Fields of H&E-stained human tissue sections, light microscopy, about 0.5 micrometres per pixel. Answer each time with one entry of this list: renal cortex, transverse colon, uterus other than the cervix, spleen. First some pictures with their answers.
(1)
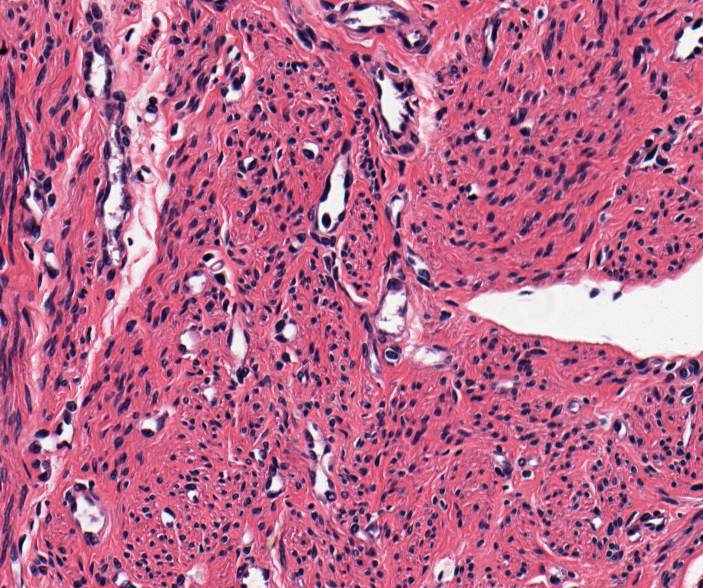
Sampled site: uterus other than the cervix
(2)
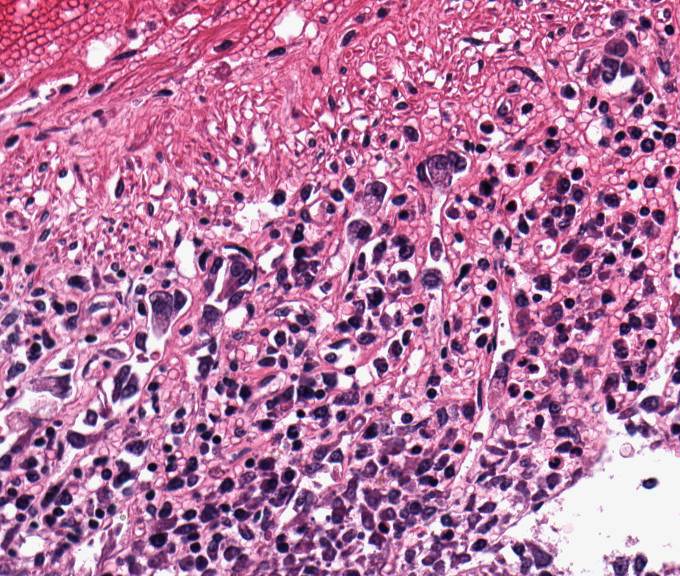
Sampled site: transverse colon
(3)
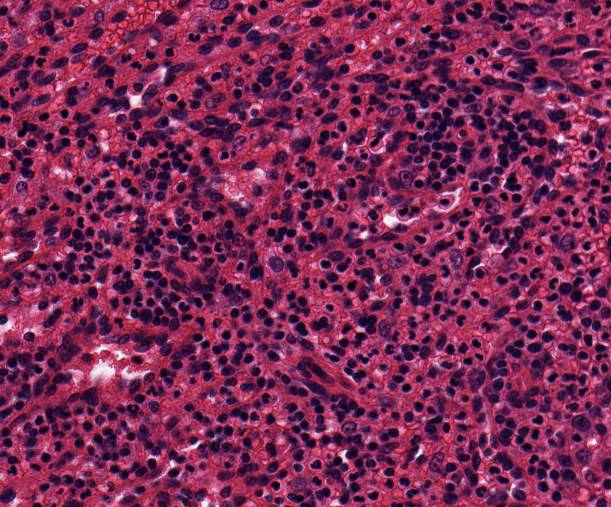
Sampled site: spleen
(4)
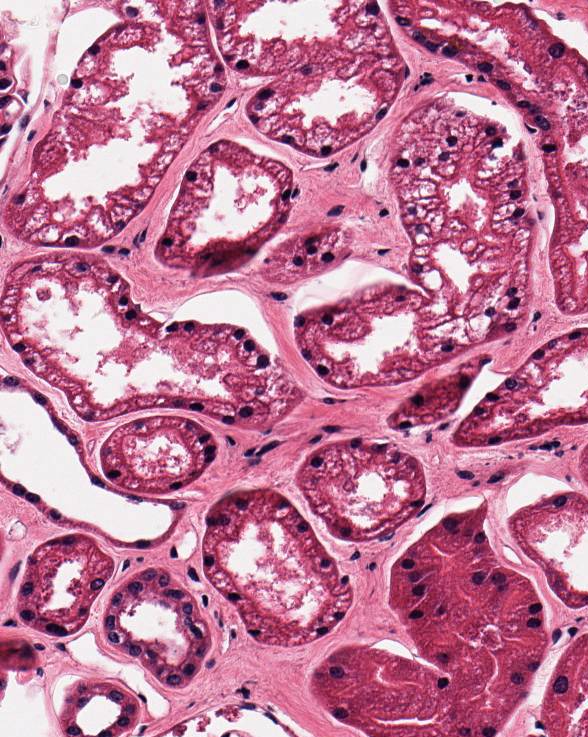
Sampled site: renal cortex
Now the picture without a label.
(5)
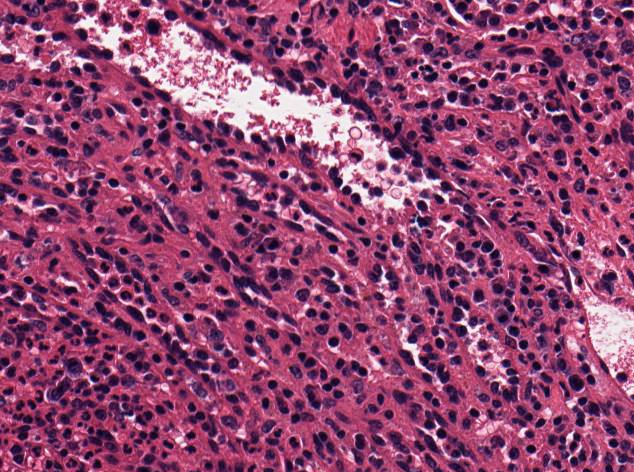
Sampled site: spleen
